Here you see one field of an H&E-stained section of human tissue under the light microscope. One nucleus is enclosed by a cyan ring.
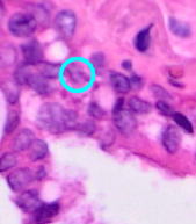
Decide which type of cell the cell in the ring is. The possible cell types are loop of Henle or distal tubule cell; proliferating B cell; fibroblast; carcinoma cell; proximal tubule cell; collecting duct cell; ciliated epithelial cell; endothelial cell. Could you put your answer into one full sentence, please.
For cell typing purposes, the cell in the ring is a ciliated epithelial cell.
